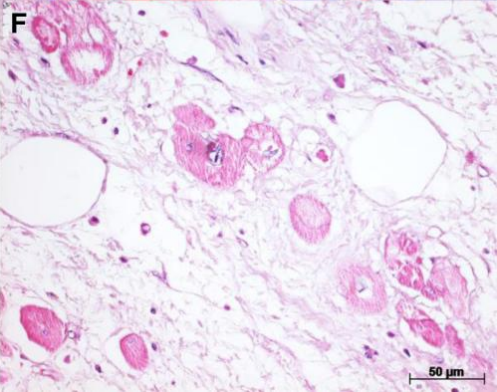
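At high magnification, scattered cardiomyocytes appear as rounded pink profiles isolated within a pale, loose fibrous stroma. Several of them have clear holes or pale areas within their cytoplasm and look broken up, in keeping with vacuolization and myocytolysis. Only a few scattered nuclei lie in the stroma, with no clusters of inflammatory cells. Large empty round spaces with thin rims also sit among the fibers.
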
